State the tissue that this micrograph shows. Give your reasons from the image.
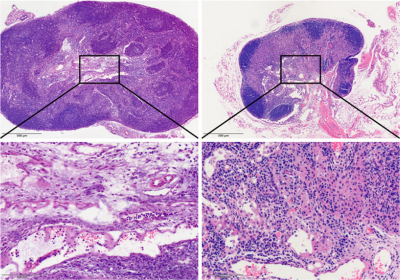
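Small oval organs densely packed with purple-staining small round cells. Rounded darker nodules lie along the outer rim.
Lymph nodes.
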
